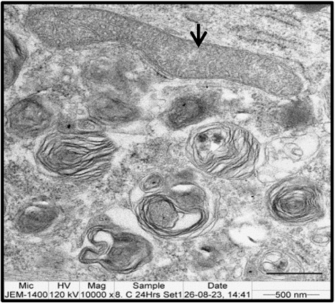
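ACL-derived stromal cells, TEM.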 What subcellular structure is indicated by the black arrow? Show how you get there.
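The arrow points to an elongated membrane-bound organelle with a dense matrix. Fine internal membrane folds run across it. That points to this answer: mitochondria.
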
